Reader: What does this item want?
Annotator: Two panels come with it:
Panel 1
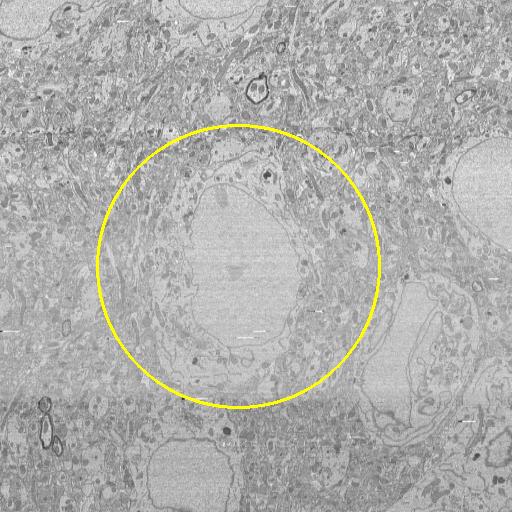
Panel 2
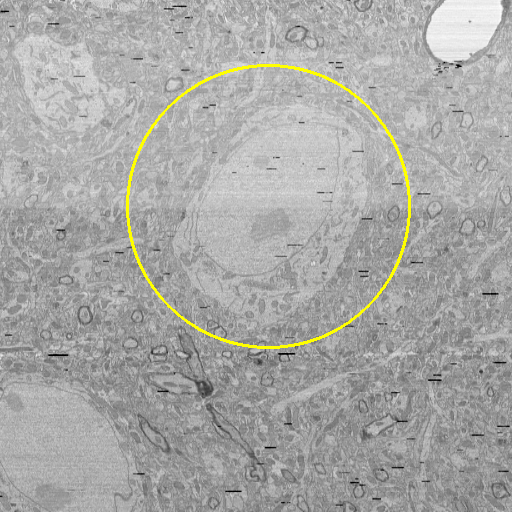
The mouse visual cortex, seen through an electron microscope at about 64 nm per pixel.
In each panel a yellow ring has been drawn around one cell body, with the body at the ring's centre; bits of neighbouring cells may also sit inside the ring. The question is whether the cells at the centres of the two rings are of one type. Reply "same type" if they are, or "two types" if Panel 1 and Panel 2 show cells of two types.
same type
